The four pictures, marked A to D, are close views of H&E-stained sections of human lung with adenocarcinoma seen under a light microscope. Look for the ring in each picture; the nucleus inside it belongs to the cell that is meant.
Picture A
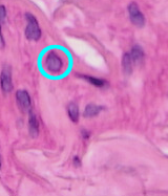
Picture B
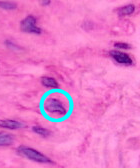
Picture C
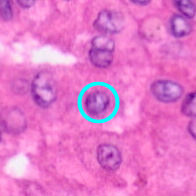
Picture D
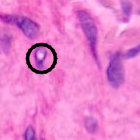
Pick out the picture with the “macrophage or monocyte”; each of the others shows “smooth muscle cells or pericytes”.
C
